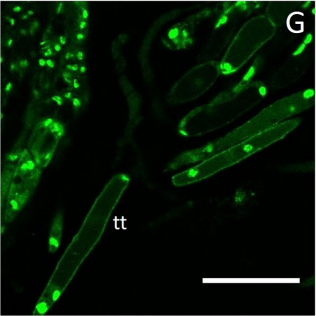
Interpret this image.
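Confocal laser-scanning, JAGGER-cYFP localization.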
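These are transmitting tissue cells, long tube-shaped cells with rounded ends lying loosely beside one another. A thin green line traces the outline of each cell, showing its periphery. Bright green spots sit along the cell edges, often at the ends of the cells and in clusters. At the left, more crowded cells carry many of the bright spots.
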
